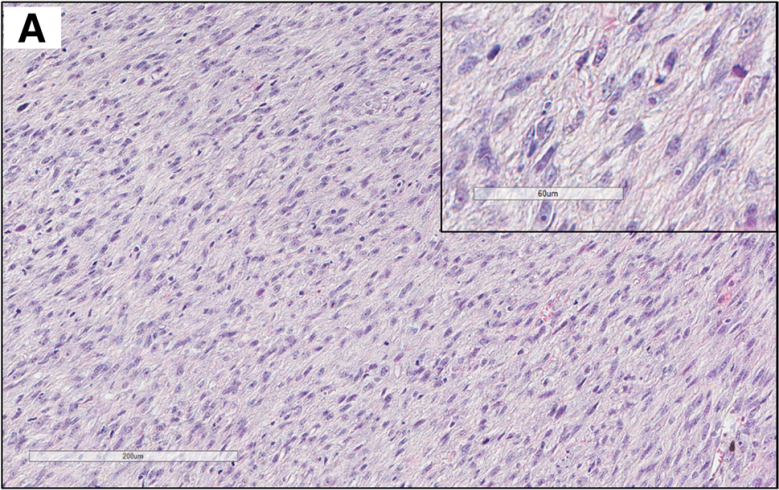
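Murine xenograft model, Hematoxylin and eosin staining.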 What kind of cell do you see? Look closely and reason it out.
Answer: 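Neoplastic spindle-shaped cells. Elongated cells with oval to fusiform nuclei fill the field. Cells run in parallel streams across the panel. Pale, finely fibrillar cytoplasm between the nuclei.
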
